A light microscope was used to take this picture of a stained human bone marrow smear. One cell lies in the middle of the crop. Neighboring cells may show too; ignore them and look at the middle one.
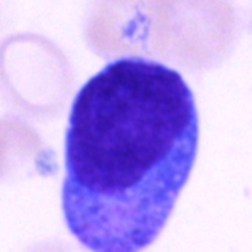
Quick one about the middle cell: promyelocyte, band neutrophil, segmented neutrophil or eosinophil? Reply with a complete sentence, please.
The crop's centre is taken up by a promyelocyte.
